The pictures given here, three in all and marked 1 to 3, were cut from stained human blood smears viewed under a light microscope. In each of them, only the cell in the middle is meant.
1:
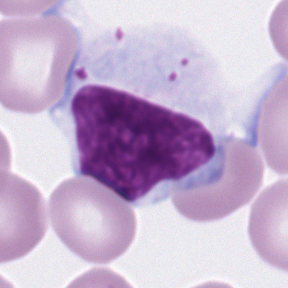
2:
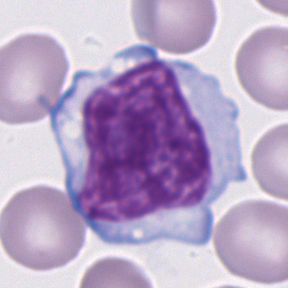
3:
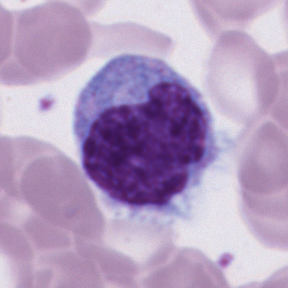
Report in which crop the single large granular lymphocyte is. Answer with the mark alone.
1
